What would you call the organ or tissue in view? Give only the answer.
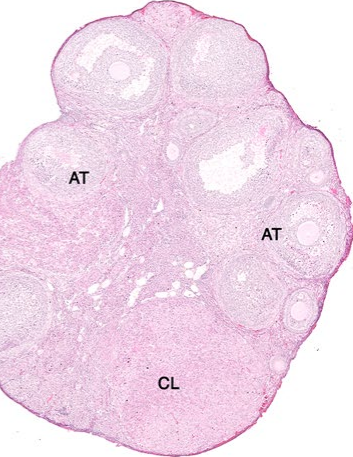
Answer: ovaries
